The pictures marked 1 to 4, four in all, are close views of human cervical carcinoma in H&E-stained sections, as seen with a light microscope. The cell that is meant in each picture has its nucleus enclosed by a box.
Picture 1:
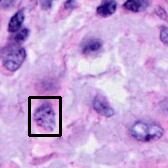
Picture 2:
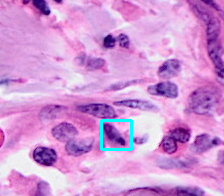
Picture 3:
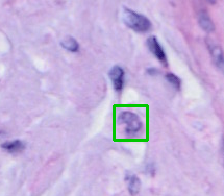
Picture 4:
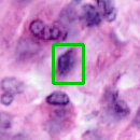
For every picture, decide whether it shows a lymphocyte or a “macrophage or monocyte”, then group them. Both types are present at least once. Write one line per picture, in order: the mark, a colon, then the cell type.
1: macrophage or monocyte
2: macrophage or monocyte
3: macrophage or monocyte
4: lymphocyte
